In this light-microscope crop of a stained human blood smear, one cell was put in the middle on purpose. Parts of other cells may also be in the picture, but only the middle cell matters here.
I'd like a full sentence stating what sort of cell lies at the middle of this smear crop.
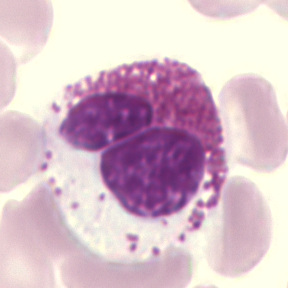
At the center of the crop sits an eosinophil.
